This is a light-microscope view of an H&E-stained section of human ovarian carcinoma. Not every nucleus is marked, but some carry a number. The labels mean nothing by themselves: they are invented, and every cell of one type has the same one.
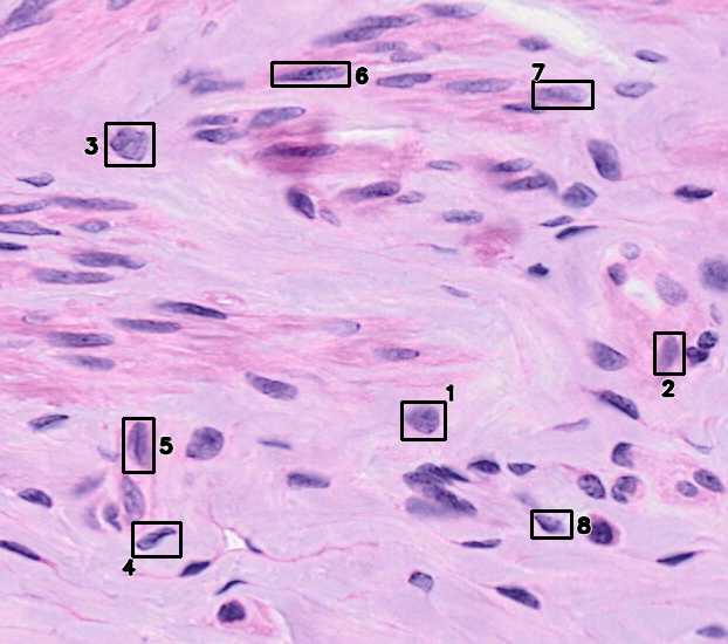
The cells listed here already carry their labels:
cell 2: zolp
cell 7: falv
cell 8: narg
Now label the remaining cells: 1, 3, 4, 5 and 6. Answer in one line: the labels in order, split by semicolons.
narg; narg; narg; zolp; falv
